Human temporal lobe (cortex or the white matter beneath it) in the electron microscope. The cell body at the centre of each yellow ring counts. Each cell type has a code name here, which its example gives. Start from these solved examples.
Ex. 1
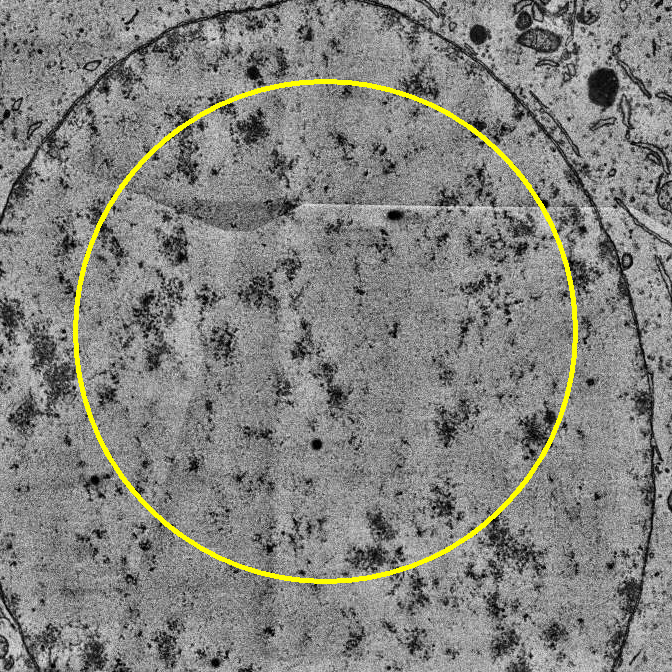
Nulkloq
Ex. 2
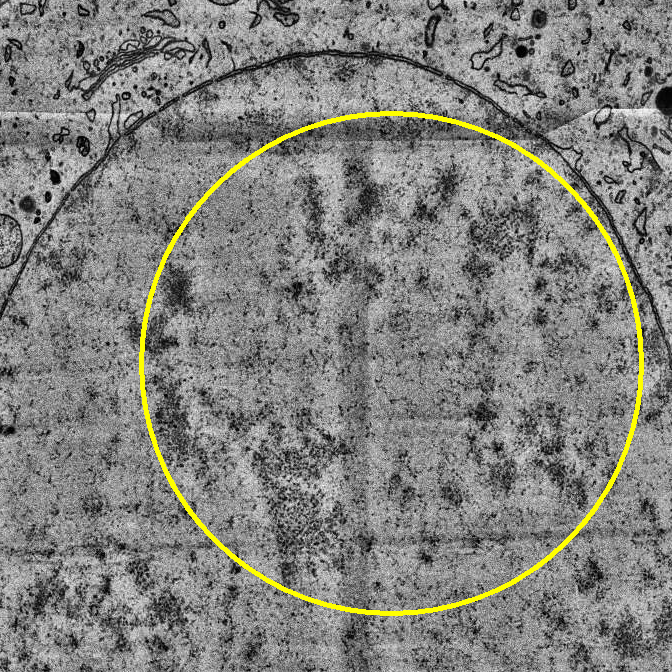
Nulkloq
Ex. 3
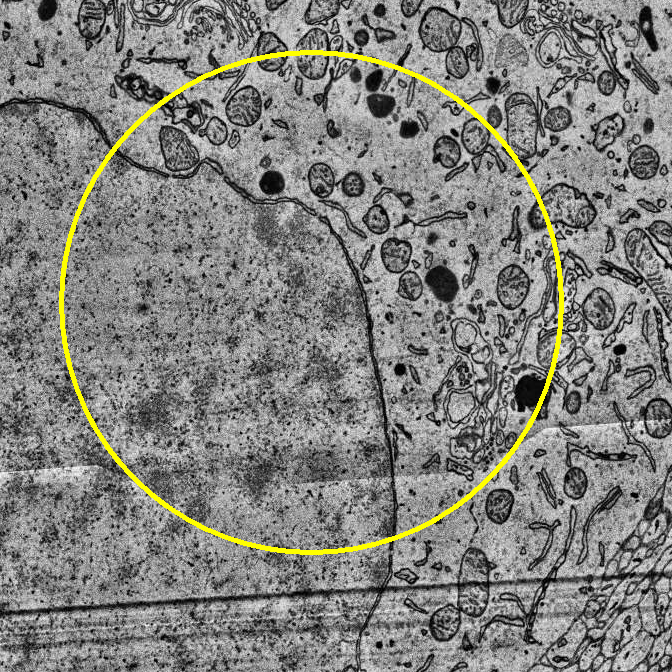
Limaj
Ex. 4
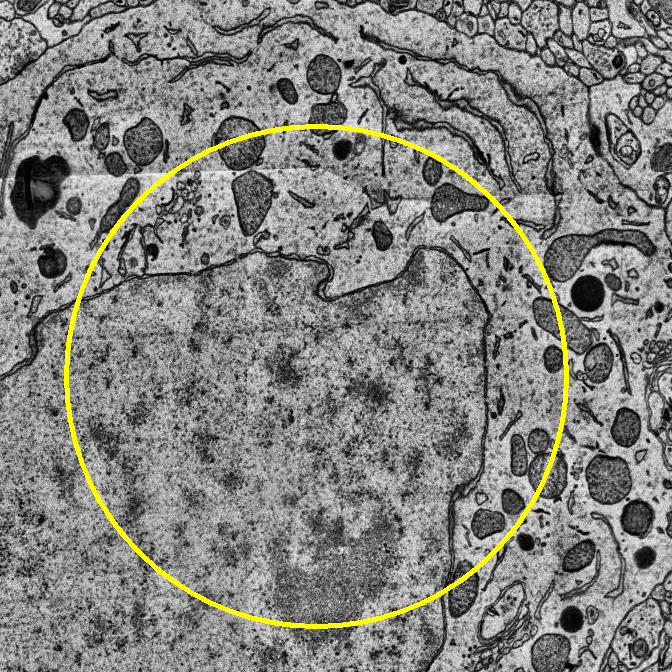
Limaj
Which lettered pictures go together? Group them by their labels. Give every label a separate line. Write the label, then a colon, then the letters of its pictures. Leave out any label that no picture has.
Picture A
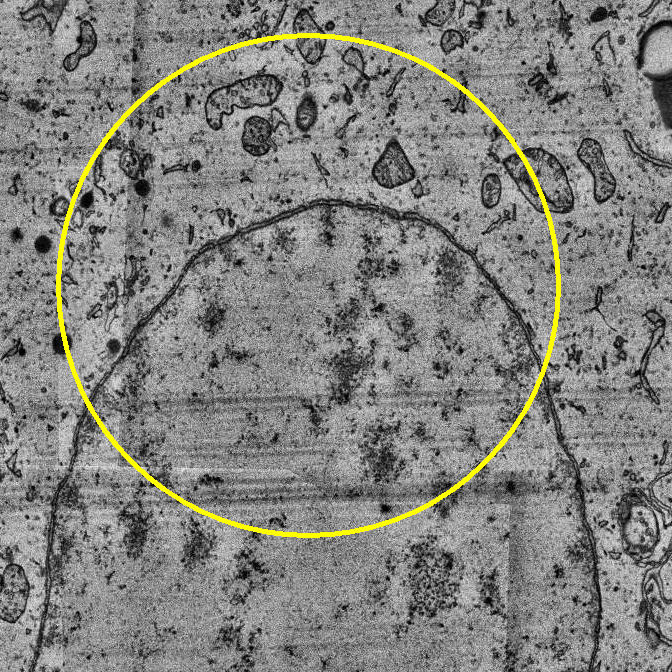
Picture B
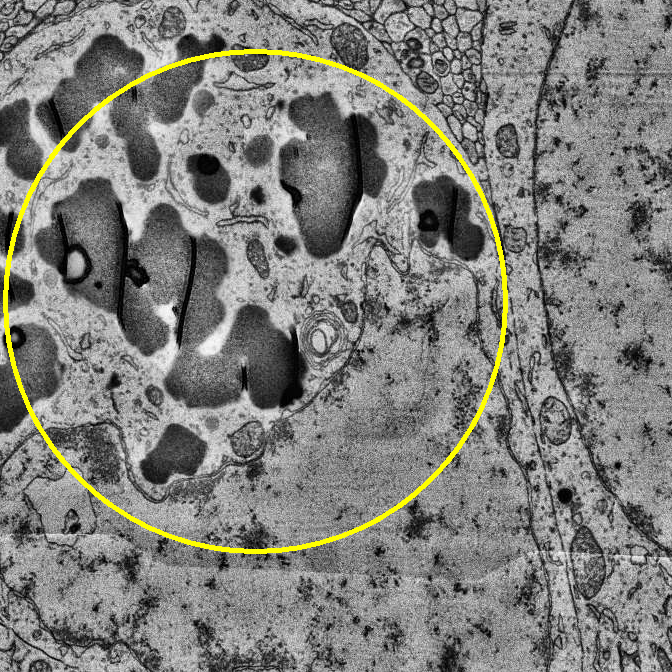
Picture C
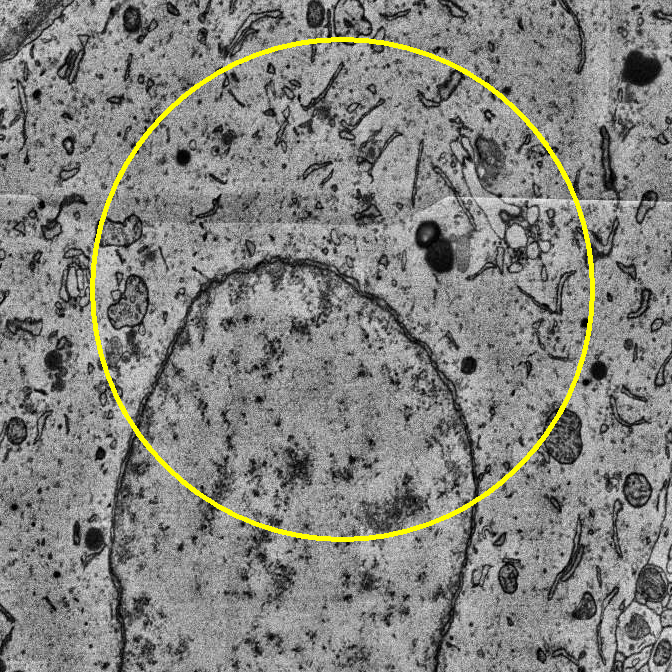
Nulkloq: A, C
Limaj: B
